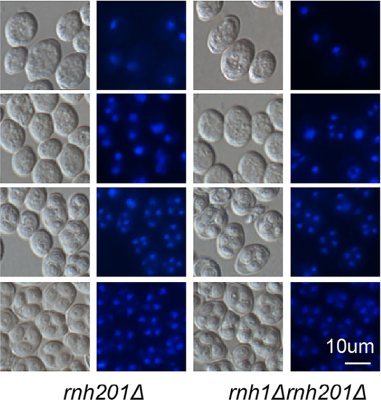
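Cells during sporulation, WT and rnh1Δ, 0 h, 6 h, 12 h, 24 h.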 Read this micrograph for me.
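Rows of round to oval cells are shown in differential interference contrast beside matching blue fluorescence images. In the top row the cells are single and undivided with one blue dot each, while in the lower rows many cells are partitioned inside into several rounded bodies and the blue images show several separate dots per cell.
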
